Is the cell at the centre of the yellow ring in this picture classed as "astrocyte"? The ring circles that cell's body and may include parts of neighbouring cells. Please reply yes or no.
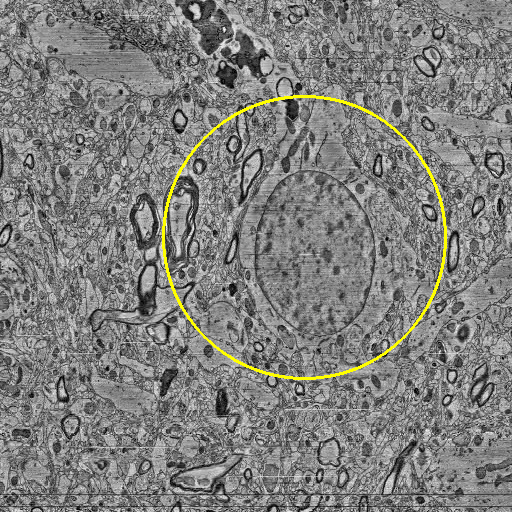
Yes, it is of that kind.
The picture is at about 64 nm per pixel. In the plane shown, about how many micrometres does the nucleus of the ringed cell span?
The nucleus measures about 11 by 8 micrometres in this plane.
